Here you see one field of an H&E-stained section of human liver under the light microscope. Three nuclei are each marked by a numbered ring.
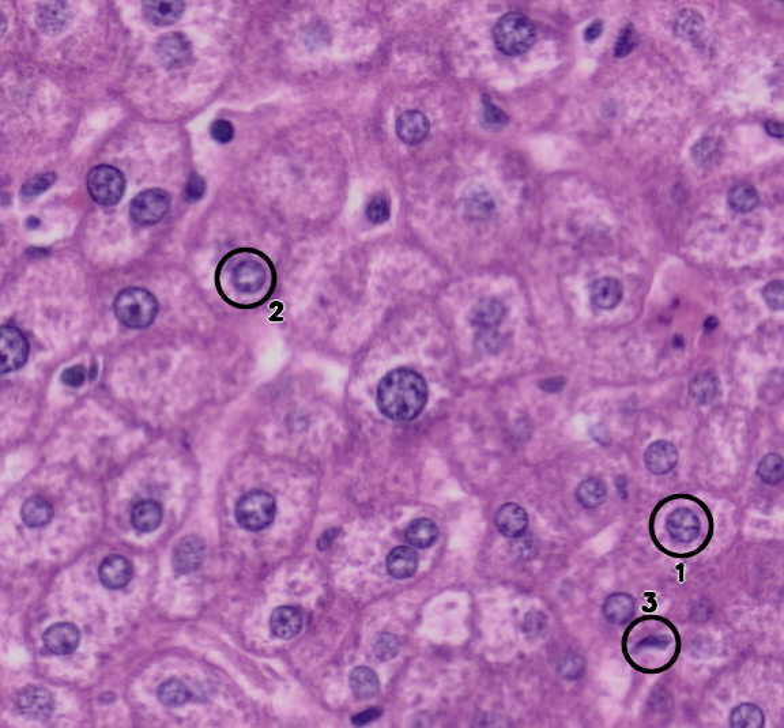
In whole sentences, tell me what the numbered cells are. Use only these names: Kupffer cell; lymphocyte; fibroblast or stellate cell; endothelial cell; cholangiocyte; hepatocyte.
Cells 1 and 2 are hepatocytes. Cell 3 is an endothelial cell.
